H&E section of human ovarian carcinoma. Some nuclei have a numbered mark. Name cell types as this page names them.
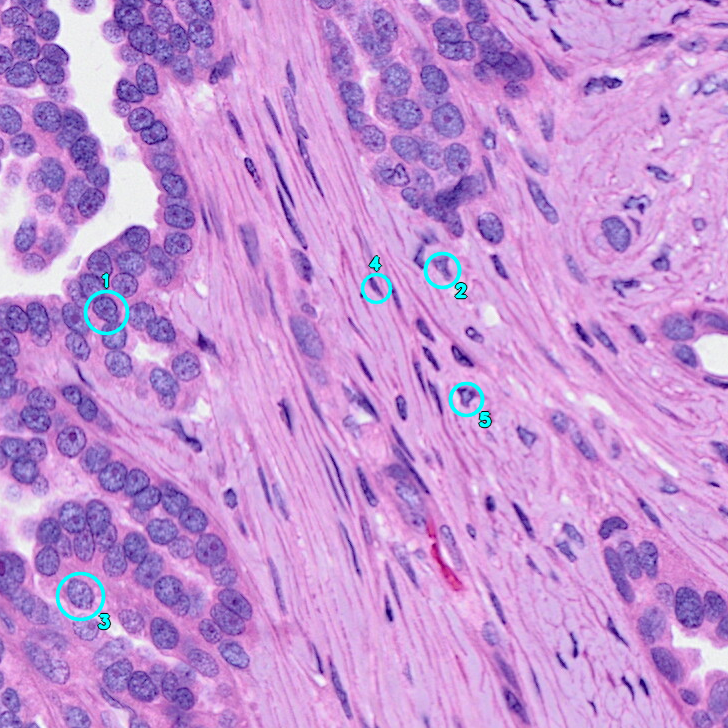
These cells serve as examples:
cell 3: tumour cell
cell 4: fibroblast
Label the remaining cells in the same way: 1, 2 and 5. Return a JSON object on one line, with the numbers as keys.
{"1": "tumour cell", "2": "fibroblast", "5": "fibroblast"}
